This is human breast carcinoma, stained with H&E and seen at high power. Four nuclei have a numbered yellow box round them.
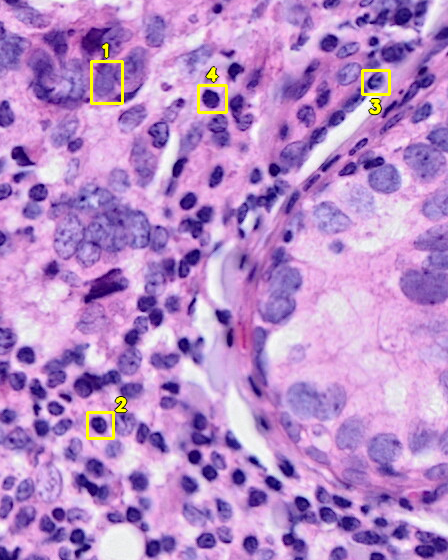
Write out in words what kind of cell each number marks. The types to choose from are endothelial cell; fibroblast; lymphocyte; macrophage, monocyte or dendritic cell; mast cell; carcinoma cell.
Cell 1 is a carcinoma cell. Cells 2, 3 and 4 are lymphocytes.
